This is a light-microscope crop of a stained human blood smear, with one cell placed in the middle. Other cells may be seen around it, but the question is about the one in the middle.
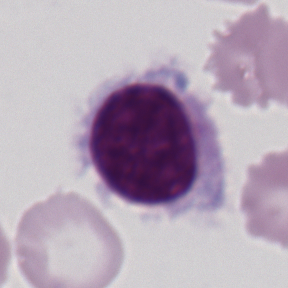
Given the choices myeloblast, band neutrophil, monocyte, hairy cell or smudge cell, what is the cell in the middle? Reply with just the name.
hairy cell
